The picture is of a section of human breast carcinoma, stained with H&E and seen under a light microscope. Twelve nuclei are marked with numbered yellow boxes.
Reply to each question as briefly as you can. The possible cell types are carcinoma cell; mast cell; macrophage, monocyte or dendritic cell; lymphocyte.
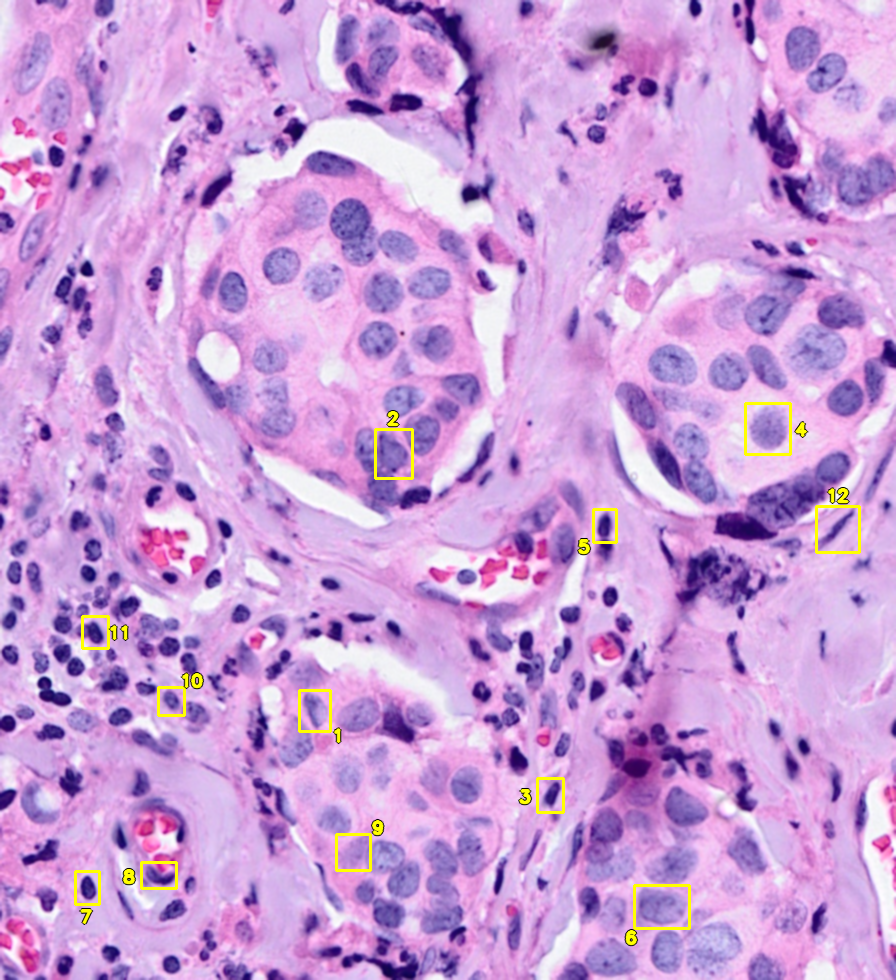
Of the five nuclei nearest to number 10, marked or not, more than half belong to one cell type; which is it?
macrophage, monocyte or dendritic cell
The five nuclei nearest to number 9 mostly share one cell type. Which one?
carcinoma cell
